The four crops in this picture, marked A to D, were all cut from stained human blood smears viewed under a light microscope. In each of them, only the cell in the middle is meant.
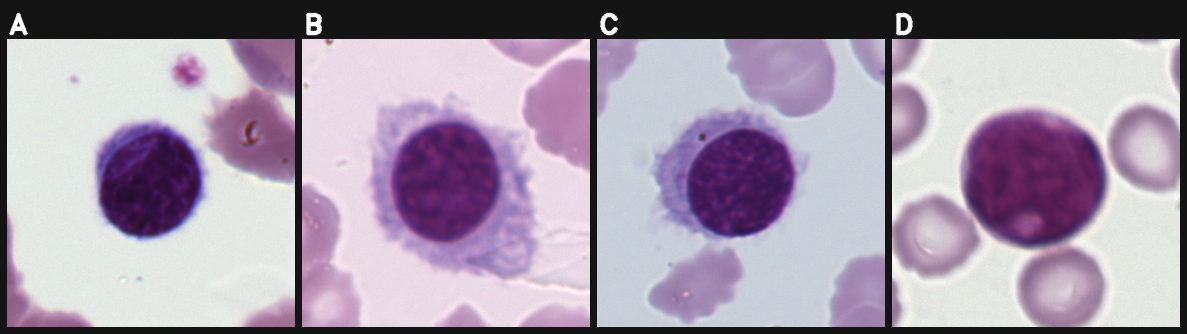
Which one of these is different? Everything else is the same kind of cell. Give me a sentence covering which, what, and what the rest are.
Only crop D differs, being a myeloblast, while the others all show hairy cells.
